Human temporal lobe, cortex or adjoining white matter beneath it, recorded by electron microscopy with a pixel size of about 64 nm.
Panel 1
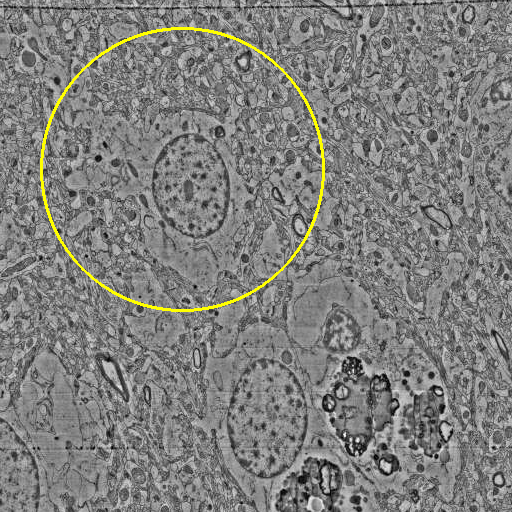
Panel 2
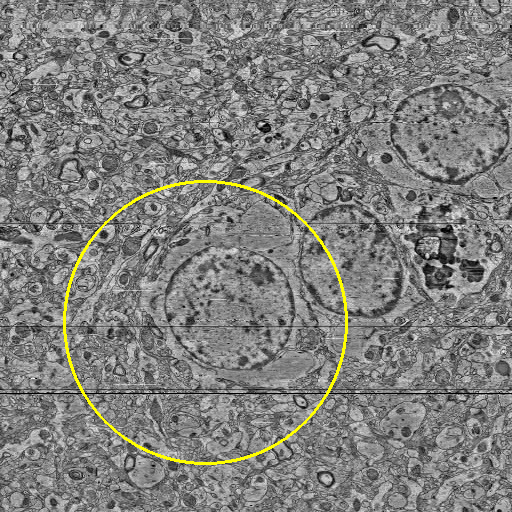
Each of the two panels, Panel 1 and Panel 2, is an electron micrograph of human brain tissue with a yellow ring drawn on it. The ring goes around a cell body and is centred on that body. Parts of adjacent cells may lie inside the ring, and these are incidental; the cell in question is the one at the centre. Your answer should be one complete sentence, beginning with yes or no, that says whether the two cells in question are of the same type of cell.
Yes, the two cells are of the same type.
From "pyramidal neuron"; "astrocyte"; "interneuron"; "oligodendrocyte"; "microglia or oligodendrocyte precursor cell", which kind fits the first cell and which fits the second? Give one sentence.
Both cells are the same kind, each one being an astrocyte.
